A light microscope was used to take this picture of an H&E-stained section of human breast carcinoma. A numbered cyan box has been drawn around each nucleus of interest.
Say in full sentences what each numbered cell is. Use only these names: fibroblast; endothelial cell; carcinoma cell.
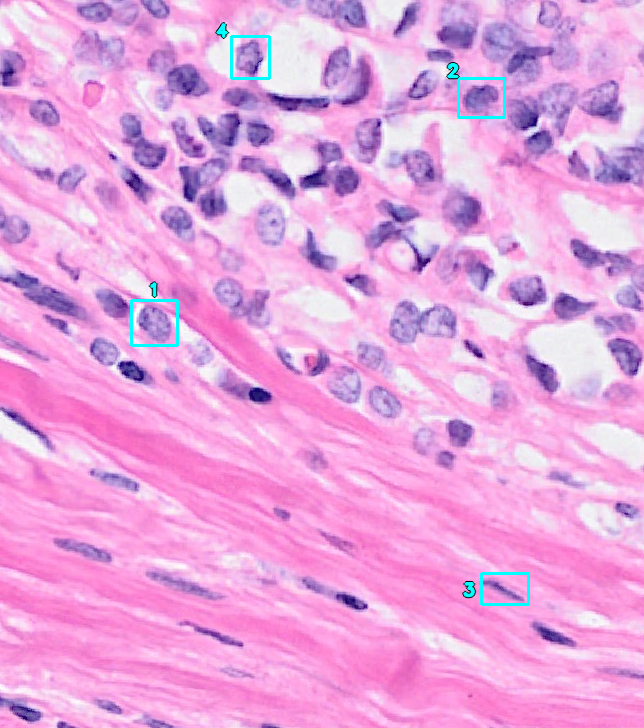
Cell 1 is a carcinoma cell, cell 2 is a carcinoma cell, cell 3 is a fibroblast and cell 4 is a carcinoma cell.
